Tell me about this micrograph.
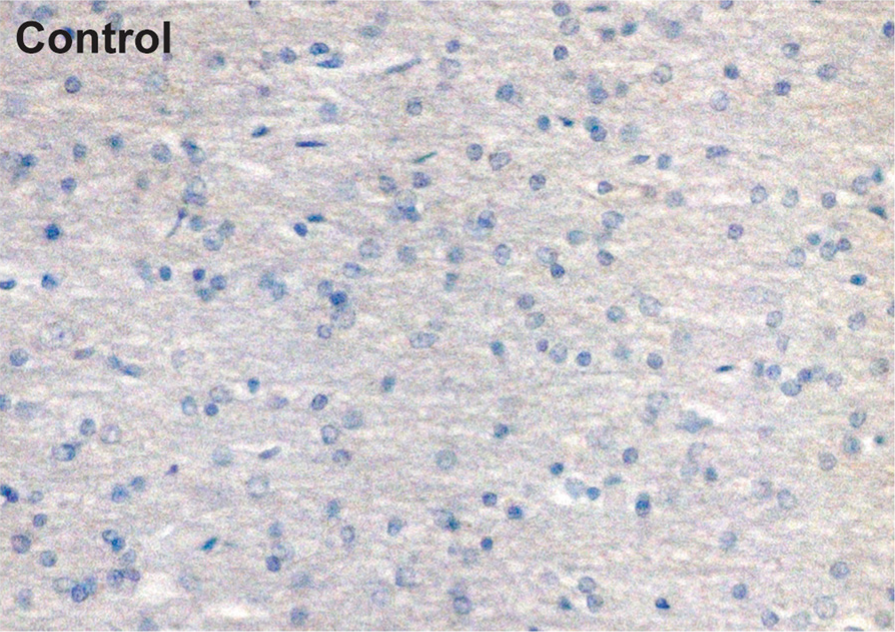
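This is brain white matter, where many small glial cells appear as round to oval blue nuclei spread fairly evenly through a pale background. The background shows a faint streaky texture from the bundles of nerve fibres running through it.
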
